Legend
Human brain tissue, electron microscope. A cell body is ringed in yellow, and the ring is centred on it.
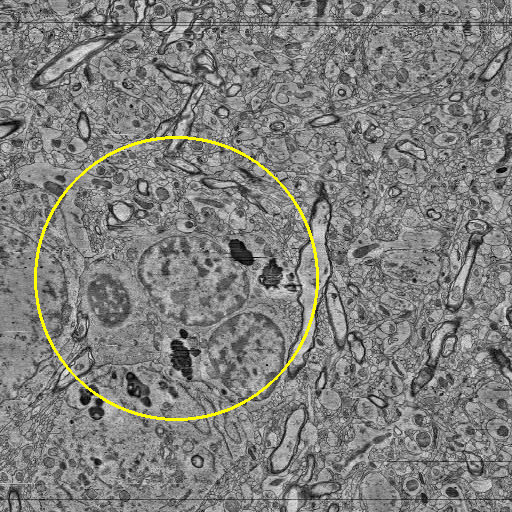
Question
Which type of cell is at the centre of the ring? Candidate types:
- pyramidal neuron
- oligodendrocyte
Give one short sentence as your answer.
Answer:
The yellow ring is centred here on an oligodendrocyte.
